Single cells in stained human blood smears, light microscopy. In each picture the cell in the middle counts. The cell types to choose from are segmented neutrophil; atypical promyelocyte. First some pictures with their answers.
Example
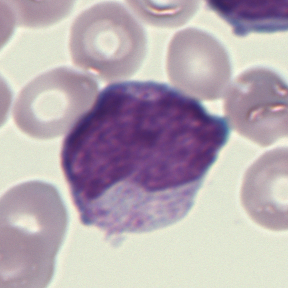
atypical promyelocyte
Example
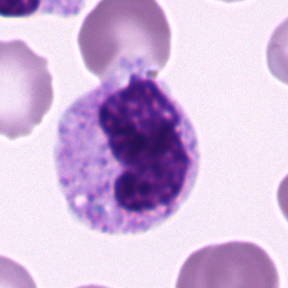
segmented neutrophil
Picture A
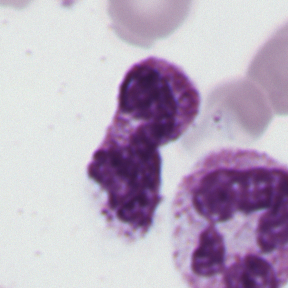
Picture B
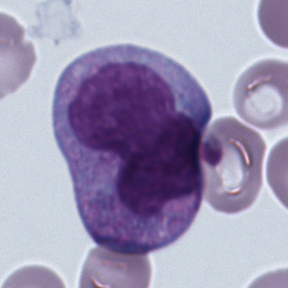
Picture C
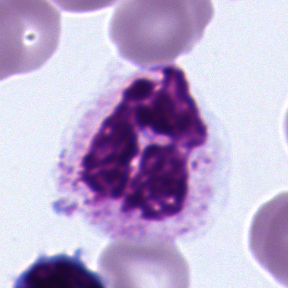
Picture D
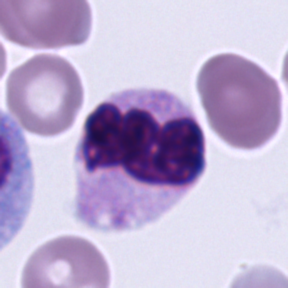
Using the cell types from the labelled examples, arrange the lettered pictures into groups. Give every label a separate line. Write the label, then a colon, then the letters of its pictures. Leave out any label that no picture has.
segmented neutrophil: A, C, D
atypical promyelocyte: B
